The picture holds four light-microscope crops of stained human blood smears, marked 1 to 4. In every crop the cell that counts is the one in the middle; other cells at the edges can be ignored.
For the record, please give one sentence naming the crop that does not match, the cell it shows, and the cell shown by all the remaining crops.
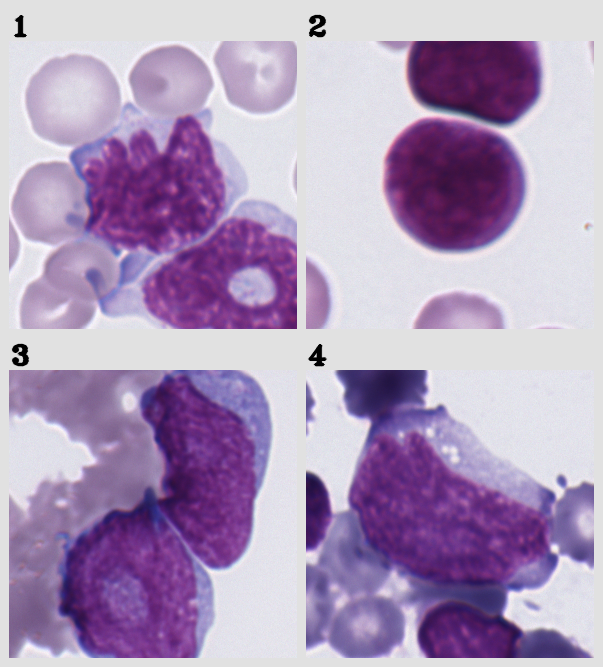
Crop 1 does not match the others; it shows a monocyte, and they show myeloblasts.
